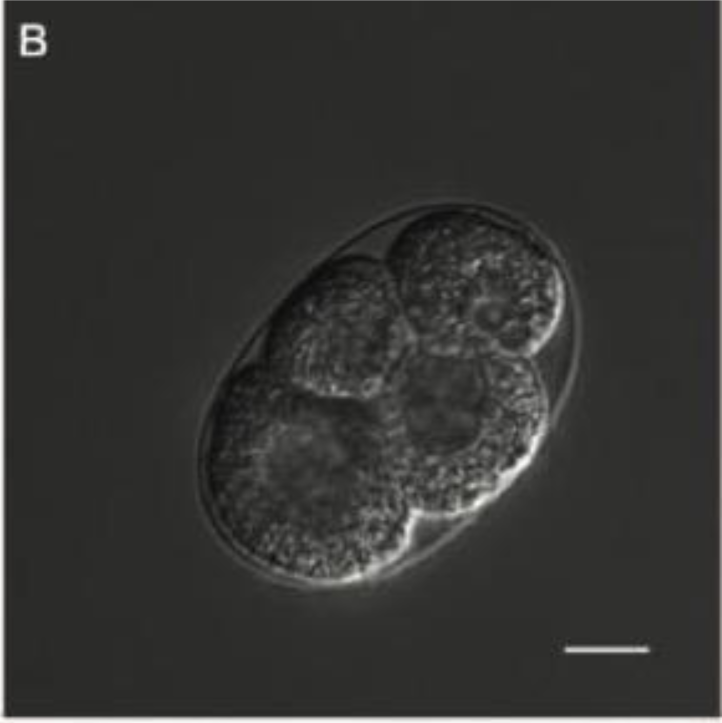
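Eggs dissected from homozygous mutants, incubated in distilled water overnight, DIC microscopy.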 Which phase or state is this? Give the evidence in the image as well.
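The egg holds about four large rounded blastomeres.
Hence: four cells.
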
